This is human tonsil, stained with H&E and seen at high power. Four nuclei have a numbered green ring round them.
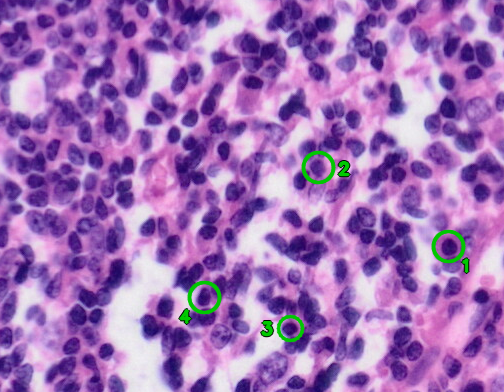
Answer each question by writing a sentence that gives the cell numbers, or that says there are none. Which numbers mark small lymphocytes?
To be specific, the cells numbered 2, 3 and 4 are small lymphocytes.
